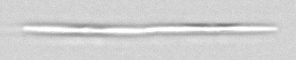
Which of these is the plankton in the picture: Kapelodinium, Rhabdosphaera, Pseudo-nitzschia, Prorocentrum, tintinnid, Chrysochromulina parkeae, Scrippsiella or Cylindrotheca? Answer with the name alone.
Pseudo-nitzschia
